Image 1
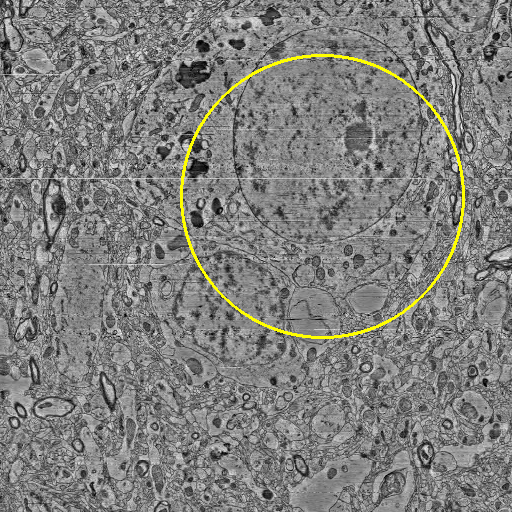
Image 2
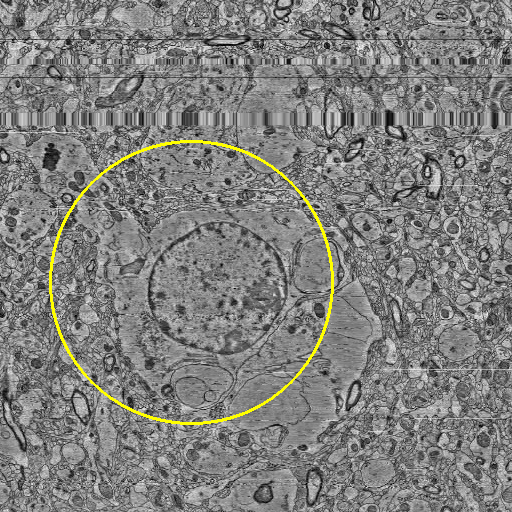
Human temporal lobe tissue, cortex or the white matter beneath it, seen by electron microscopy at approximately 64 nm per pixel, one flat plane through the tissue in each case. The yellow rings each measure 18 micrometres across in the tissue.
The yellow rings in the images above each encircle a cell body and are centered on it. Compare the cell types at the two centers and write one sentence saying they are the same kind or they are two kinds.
Taken together, the two cells at the ring centers are two kinds.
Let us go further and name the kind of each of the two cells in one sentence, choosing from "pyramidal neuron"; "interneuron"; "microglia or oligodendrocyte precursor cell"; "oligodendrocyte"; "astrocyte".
The ring of the first picture is on a pyramidal neuron, the ring of the second on an astrocyte.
